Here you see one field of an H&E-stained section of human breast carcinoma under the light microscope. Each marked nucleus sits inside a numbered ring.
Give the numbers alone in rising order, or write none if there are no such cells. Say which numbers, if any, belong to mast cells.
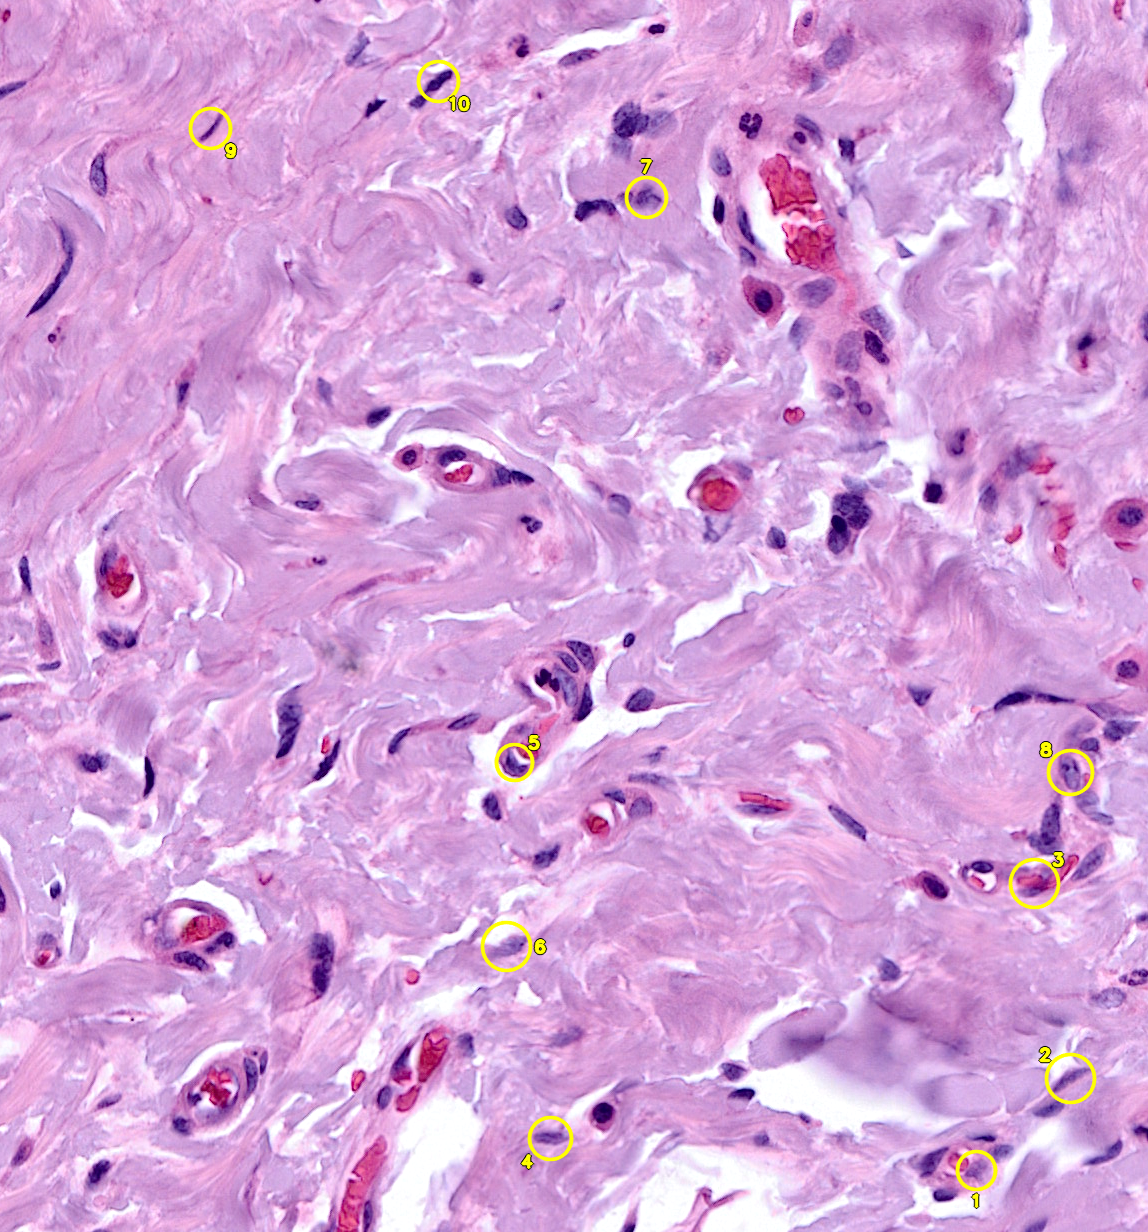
none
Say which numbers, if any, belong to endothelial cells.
1, 3, 5, 8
